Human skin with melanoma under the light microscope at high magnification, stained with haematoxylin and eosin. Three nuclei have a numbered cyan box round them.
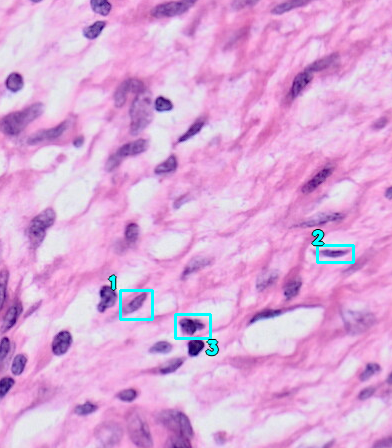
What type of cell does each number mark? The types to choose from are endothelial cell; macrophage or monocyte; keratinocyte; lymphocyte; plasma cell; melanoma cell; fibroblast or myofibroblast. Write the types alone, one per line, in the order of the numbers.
macrophage or monocyte
fibroblast or myofibroblast
lymphocyte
